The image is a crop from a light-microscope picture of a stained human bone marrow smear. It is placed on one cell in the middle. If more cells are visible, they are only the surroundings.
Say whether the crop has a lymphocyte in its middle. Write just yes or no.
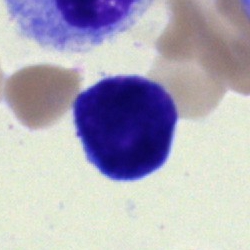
yes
